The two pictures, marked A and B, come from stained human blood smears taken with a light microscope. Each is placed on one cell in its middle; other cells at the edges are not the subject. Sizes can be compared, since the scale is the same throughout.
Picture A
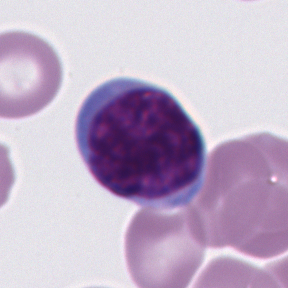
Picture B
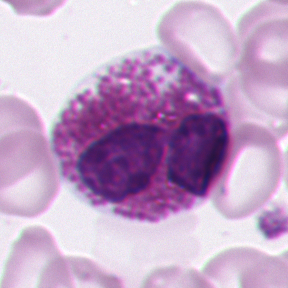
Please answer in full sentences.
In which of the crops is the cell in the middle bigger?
Picture B holds the larger cell; it covers about 1.5 times the area of the cell in picture A.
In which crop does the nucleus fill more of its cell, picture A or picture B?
It is the cell in picture A that is filled more by its nucleus.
